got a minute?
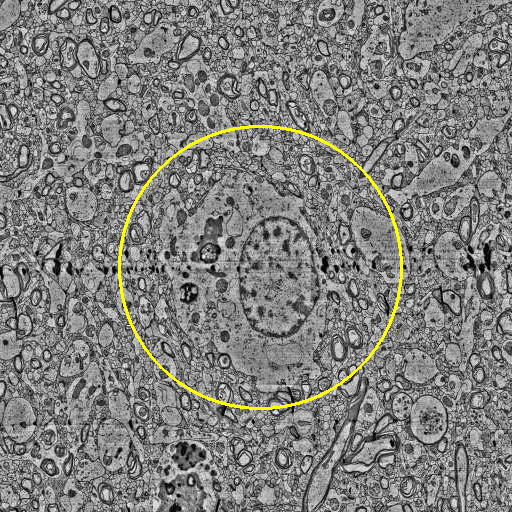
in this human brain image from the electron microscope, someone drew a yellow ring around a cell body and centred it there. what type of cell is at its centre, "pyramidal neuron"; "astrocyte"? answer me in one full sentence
It's an astrocyte at the middle of that yellow ring in the shot.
